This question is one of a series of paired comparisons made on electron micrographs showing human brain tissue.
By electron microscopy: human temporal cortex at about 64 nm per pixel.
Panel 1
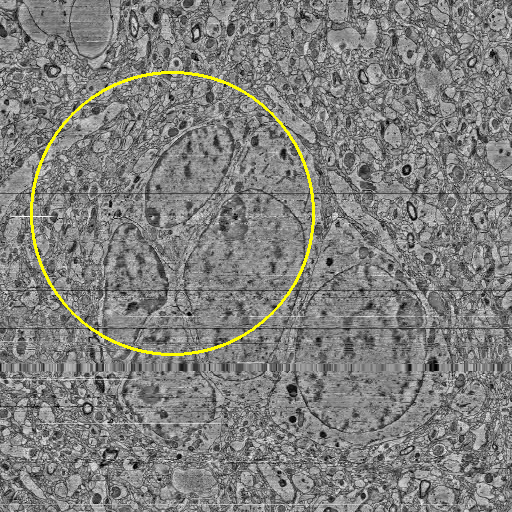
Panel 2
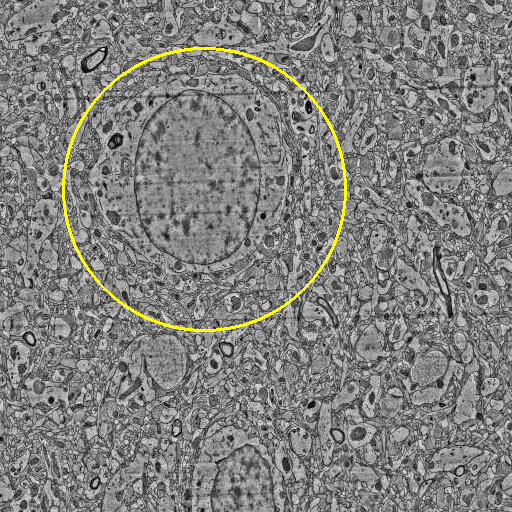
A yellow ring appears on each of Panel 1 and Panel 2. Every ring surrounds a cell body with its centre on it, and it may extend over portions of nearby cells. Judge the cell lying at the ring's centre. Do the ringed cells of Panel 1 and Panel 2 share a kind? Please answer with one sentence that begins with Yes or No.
No, the ring-centre cell in Panel 1 and the one in Panel 2 are of two kinds.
